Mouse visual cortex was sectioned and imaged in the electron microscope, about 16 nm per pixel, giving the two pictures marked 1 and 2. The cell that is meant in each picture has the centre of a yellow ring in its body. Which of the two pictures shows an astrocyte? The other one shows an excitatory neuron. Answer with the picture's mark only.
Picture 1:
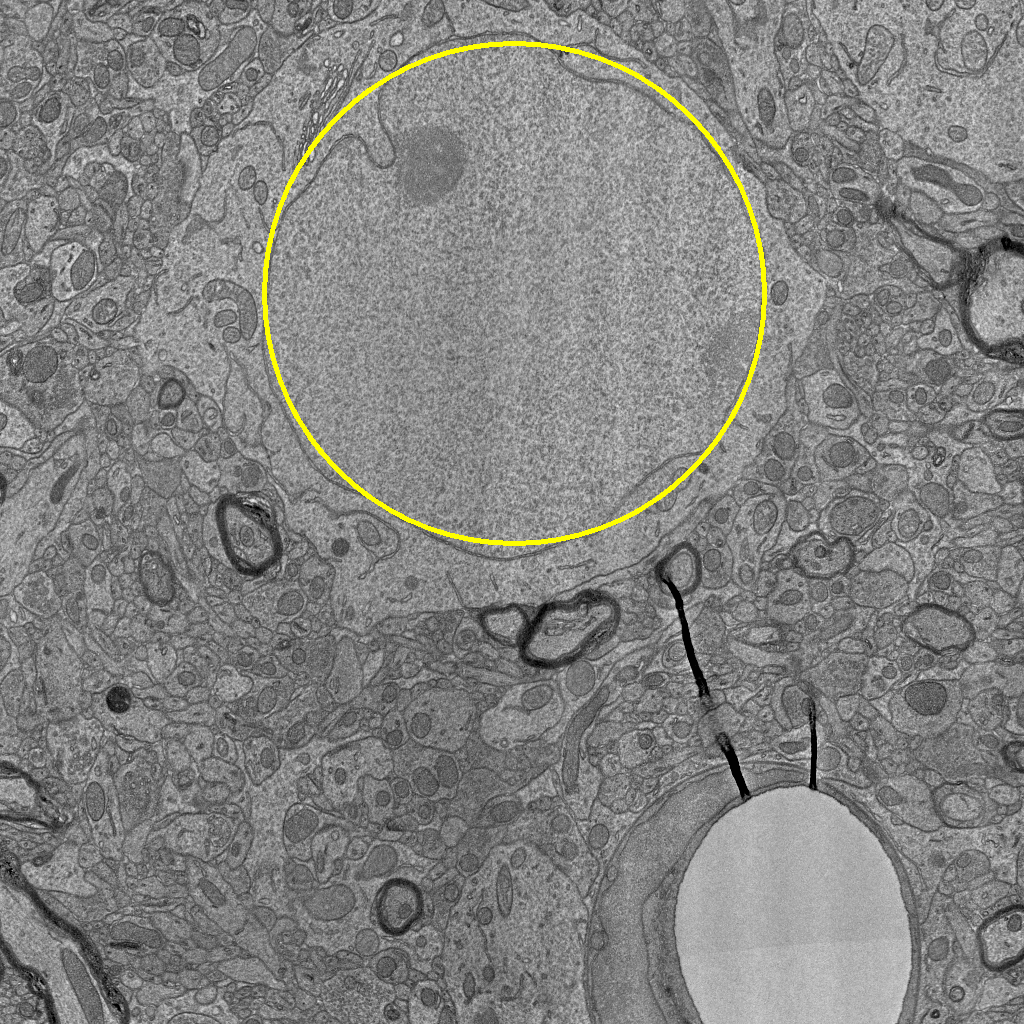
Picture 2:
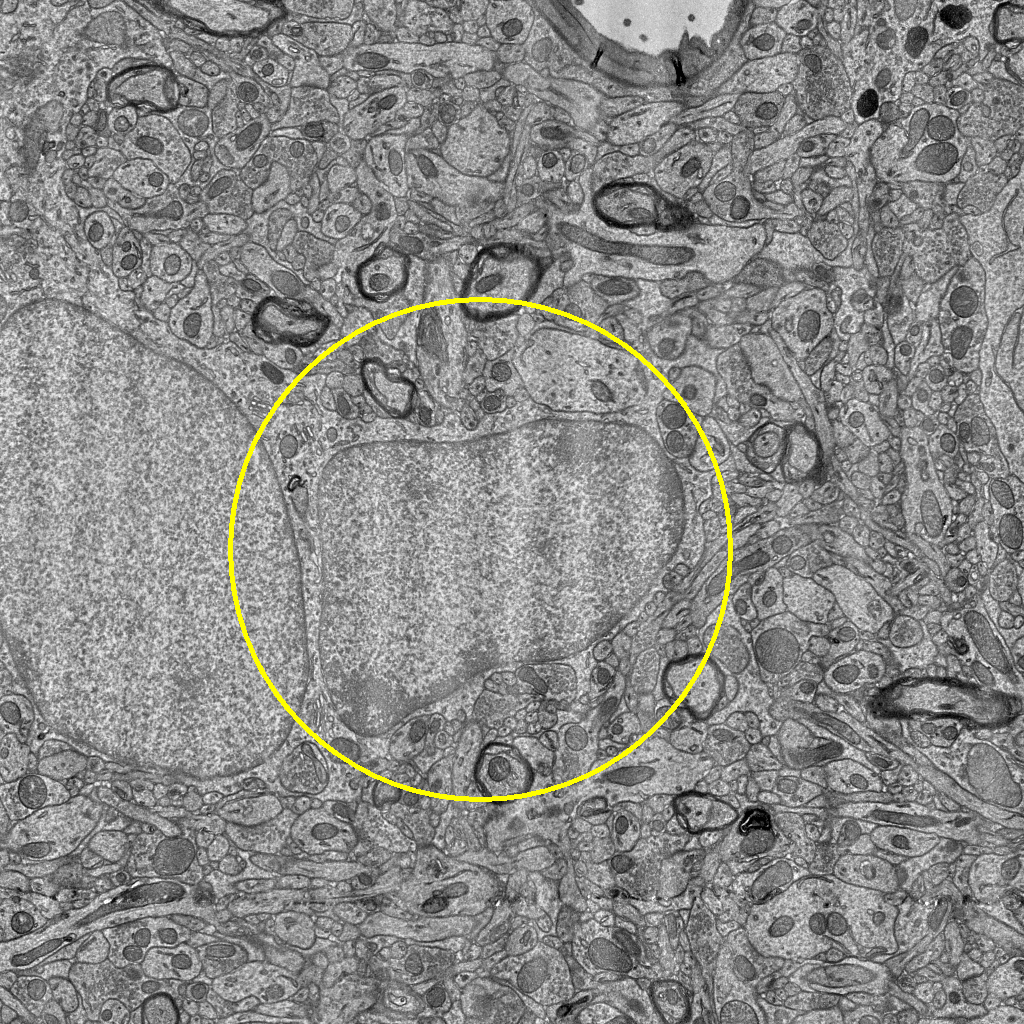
2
